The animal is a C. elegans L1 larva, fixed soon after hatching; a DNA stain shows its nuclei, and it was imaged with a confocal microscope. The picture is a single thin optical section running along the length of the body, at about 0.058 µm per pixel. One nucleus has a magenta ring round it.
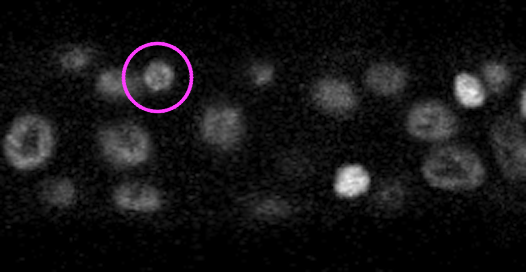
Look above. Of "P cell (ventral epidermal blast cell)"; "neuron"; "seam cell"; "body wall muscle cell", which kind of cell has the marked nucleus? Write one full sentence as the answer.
It is the nucleus of a body wall muscle cell.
